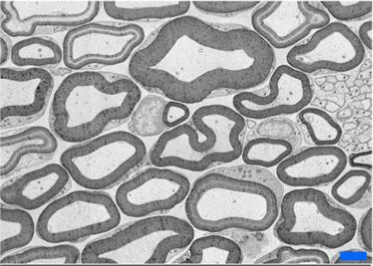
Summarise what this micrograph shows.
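This transverse section of peripheral nerve is crowded with myelinated nerve fibres, each a pale axon enclosed by a dark, compact ring of myelin. The fibres vary widely in size, and many have irregular, folded or kidney-like outlines. They lie closely packed with little space between them. Small groups of thin unmyelinated axons sit in the narrow spaces between the larger fibres.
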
